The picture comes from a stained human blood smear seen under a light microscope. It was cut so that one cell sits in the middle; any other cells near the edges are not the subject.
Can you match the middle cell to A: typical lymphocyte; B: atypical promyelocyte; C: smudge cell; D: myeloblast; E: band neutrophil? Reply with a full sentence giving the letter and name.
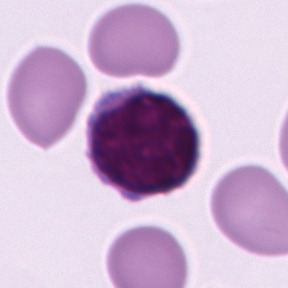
The correct option is A, as the central cell is a typical lymphocyte.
